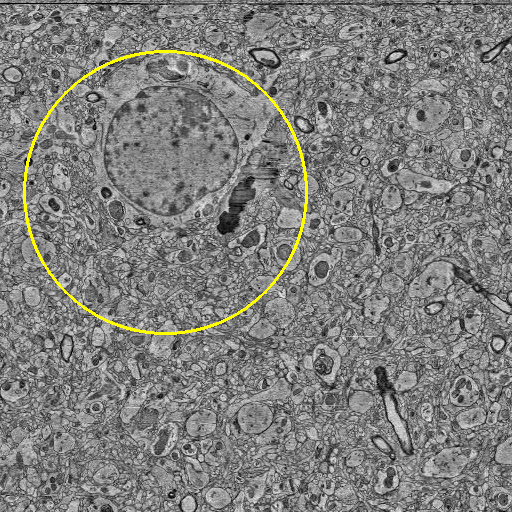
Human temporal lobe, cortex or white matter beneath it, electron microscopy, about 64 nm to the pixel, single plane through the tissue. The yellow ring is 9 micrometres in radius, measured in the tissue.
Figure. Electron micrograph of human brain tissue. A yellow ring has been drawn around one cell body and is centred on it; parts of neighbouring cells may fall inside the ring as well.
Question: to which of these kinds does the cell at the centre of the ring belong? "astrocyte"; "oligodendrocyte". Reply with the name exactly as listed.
astrocyte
